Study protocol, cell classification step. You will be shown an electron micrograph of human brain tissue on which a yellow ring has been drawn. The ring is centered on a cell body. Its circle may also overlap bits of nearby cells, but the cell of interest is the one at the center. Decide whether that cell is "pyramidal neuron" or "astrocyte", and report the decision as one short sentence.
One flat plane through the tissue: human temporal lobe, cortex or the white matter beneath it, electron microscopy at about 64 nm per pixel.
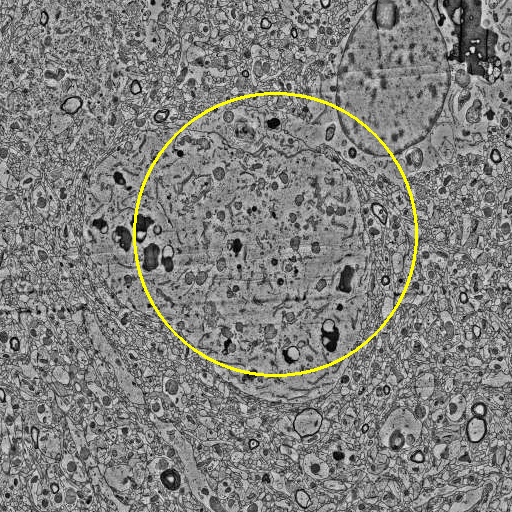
The marked cell is a pyramidal neuron.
